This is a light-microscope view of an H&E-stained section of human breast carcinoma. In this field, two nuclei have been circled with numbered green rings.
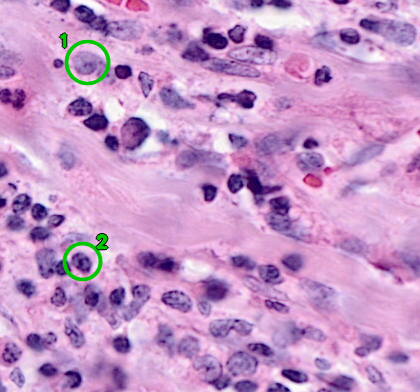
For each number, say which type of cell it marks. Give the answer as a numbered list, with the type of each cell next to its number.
1. macrophage, monocyte or dendritic cell
2. lymphocyte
